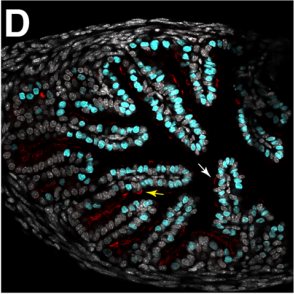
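This is a cross-section through the oviduct, with slender branching epithelial folds projecting into the central lumen. The folds are lined by a single layer of columnar epithelial cells, many with bright cyan nuclei and others with only grey nuclei, lying side by side. Red staining is seen along the epithelium of the folds.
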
